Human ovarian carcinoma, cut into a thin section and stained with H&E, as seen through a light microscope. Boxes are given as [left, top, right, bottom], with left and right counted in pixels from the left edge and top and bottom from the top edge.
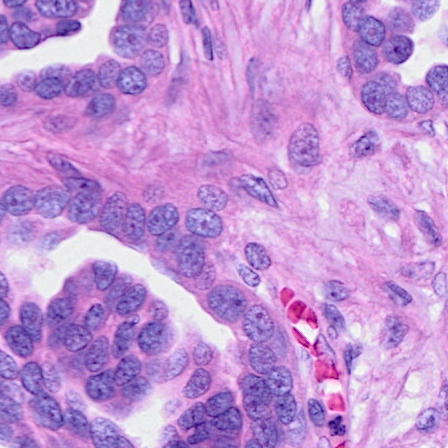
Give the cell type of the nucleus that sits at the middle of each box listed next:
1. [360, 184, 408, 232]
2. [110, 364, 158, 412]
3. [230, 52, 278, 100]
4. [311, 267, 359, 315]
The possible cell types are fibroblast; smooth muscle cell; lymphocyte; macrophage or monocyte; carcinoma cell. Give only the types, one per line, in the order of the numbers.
fibroblast
carcinoma cell
fibroblast
fibroblast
